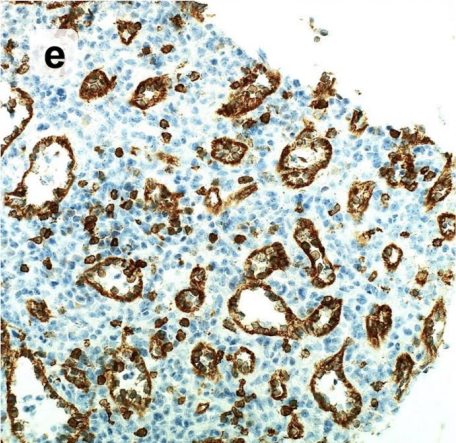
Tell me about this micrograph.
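Tissue with many round to oval vascular channels whose linings are stained brown, forming rings around open lumens. The channels lie scattered among densely packed unstained cells with blue nuclei.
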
